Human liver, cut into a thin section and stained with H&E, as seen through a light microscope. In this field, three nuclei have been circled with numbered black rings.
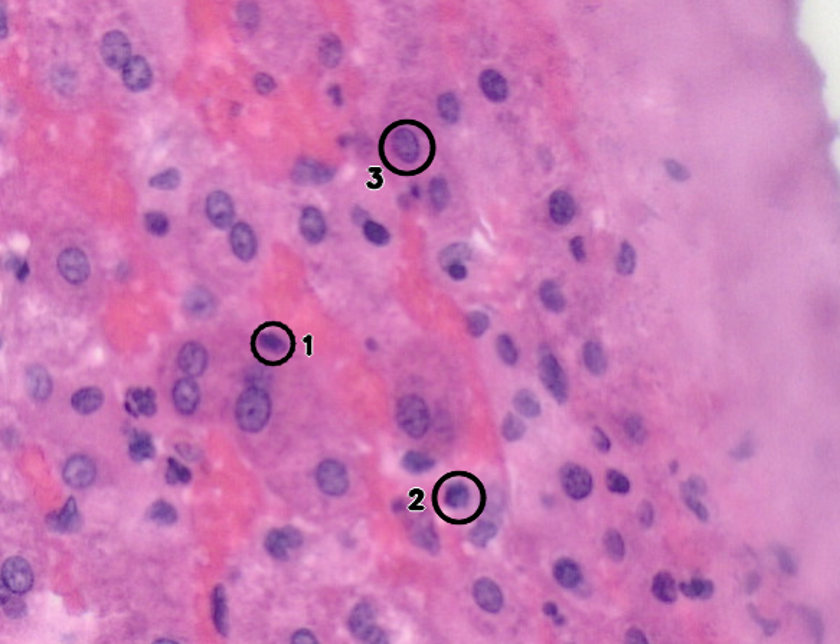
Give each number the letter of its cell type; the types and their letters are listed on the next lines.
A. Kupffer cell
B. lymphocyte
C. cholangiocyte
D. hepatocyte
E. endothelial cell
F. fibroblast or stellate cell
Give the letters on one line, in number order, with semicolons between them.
F; B; D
